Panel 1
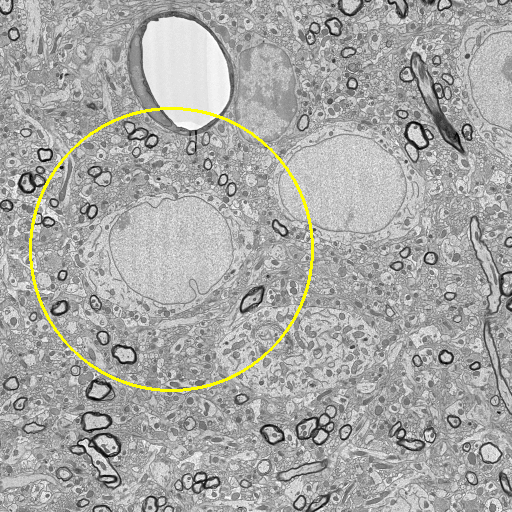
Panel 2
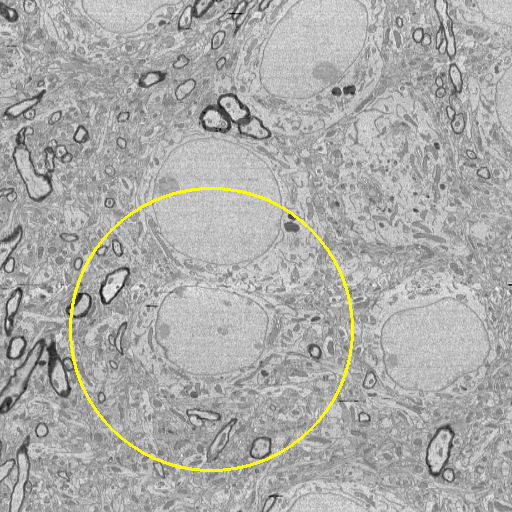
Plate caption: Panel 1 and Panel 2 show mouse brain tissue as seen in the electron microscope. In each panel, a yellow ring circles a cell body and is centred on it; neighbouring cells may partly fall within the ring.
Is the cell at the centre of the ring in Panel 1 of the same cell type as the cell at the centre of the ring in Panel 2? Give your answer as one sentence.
Yes, the two cells are of the same type.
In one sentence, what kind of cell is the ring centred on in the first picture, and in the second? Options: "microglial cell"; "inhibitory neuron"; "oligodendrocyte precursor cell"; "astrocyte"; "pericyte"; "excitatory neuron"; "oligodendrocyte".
The cell at the ring centre is an excitatory neuron in both pictures.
